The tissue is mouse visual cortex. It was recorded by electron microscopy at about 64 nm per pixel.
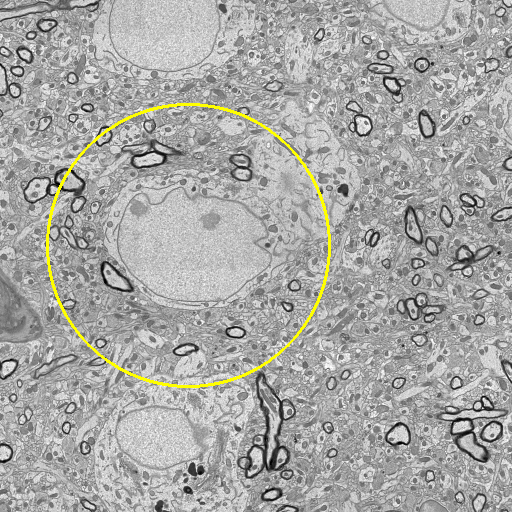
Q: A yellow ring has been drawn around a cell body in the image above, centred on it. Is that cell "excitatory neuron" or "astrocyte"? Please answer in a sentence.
The ring surrounds the cell body of an excitatory neuron.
